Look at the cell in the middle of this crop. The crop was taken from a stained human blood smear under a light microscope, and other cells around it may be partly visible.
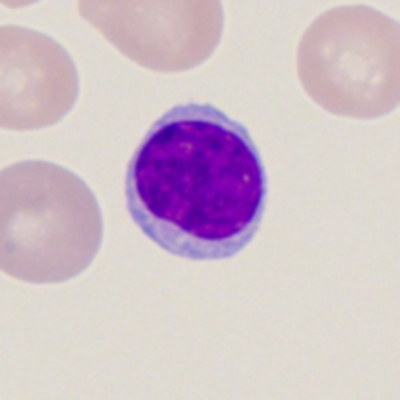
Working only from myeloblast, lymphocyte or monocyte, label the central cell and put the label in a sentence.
In short, the cell at the center is a lymphocyte.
